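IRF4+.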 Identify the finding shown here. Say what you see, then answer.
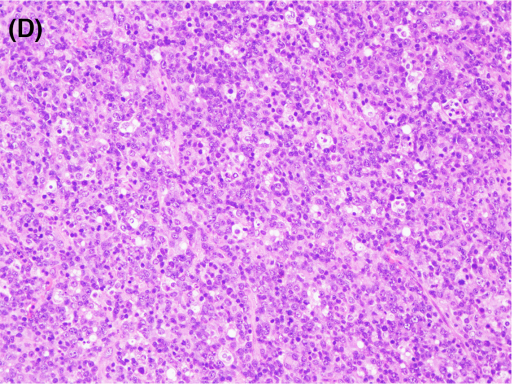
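Scattered pale, clear-haloed macrophages lie among a dense sheet of dark lymphoid cells. The pale cells contain small dark debris.
Answer: starry sky pattern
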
